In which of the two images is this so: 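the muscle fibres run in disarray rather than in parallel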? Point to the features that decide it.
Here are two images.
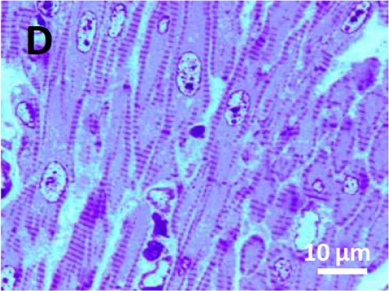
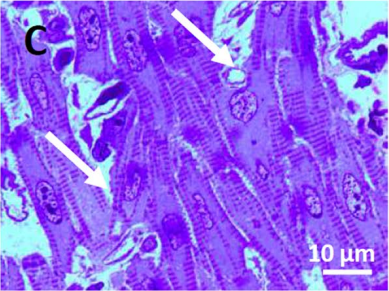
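The second image. First image: striated fibres lie roughly parallel in one direction.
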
